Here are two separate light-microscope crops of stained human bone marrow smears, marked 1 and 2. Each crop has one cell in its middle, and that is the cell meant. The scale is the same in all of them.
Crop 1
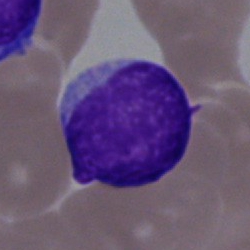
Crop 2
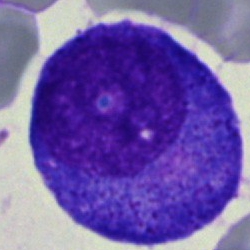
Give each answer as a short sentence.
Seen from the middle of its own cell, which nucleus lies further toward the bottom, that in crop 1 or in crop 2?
It is the nucleus in crop 1 that lies further toward the bottom of its cell.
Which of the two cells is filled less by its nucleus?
The nucleus fills less of the cell in crop 2 than in crop 1.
